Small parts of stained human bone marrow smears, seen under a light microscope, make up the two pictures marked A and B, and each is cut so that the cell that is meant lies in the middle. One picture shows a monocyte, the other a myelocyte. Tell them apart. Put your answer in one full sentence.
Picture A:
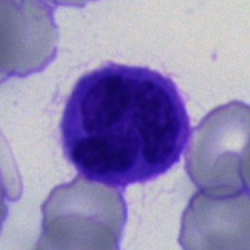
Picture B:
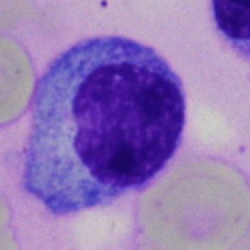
It is picture A that shows a monocyte, and picture B that shows a myelocyte.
